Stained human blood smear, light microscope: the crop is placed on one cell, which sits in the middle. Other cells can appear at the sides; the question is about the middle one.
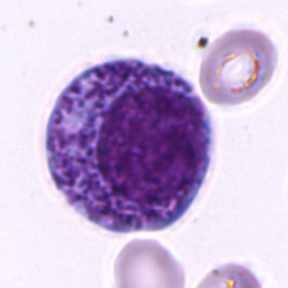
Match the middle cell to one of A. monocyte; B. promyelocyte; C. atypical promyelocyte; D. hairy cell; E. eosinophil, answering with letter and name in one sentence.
That cell in the center is a promyelocyte, hence option B.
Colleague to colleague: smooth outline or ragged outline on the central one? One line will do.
Its outline is smooth, with no projections anywhere along the edge.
